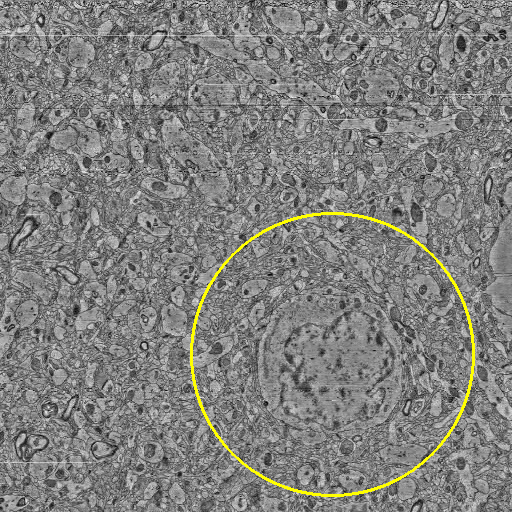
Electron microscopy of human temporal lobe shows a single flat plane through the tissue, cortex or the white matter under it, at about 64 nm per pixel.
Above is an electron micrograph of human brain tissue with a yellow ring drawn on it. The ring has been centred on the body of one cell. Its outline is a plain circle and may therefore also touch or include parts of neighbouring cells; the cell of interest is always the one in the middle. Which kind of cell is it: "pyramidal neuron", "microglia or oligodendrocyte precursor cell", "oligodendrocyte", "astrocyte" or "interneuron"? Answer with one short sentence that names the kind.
The ring's central cell body is that of an interneuron.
